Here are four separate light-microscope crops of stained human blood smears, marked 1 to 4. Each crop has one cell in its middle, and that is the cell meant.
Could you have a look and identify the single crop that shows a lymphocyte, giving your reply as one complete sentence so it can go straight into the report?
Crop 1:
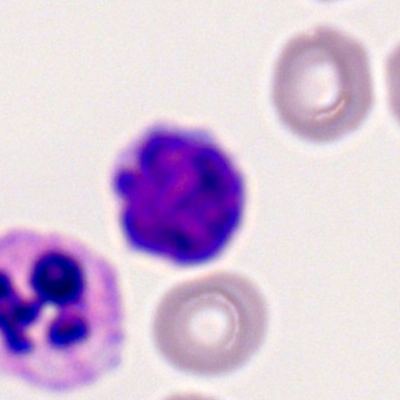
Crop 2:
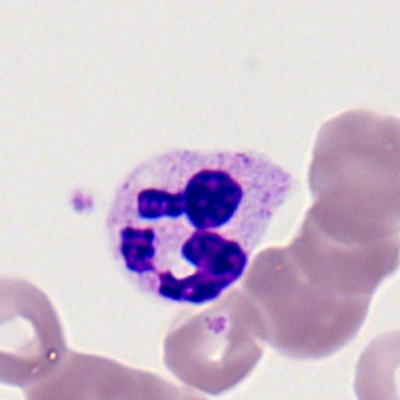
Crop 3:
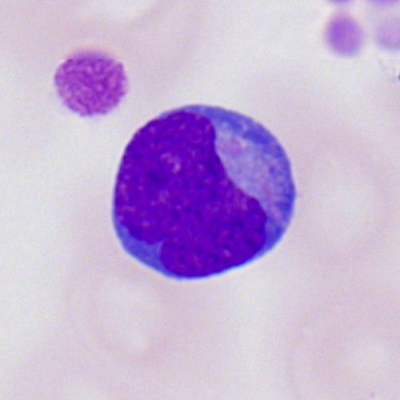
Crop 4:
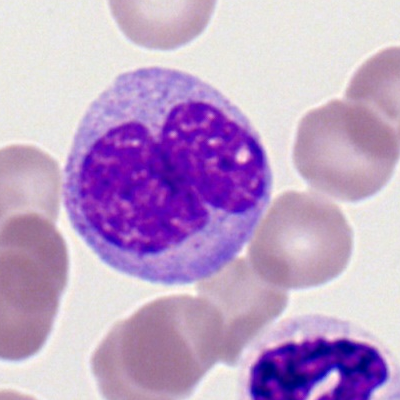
Crop 1 is the crop featuring a lymphocyte at its center.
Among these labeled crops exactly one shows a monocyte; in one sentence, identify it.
Crop 4 matches the request, showing a monocyte.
